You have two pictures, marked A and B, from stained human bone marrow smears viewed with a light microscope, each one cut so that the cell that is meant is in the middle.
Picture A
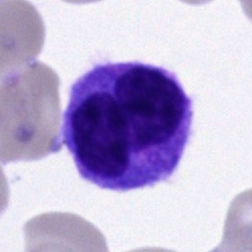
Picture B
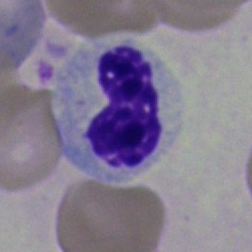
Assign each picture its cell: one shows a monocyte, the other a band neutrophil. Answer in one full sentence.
Picture B shows a band neutrophil, while picture A shows a monocyte.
